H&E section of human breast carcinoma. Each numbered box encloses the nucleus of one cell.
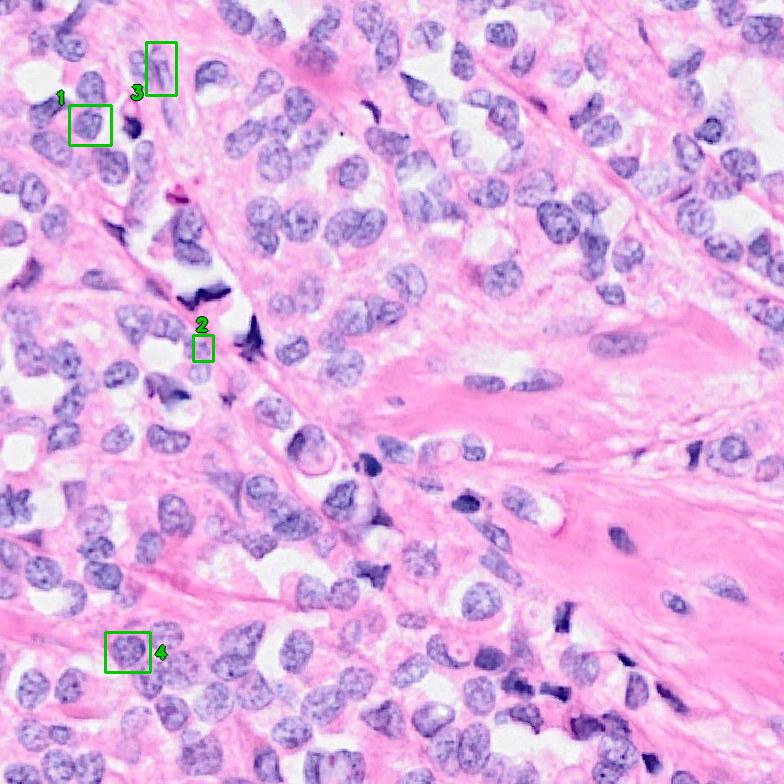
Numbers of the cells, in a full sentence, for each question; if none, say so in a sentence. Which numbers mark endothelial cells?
Only one of the numbered nuclei, number 3, belongs to an endothelial cell.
